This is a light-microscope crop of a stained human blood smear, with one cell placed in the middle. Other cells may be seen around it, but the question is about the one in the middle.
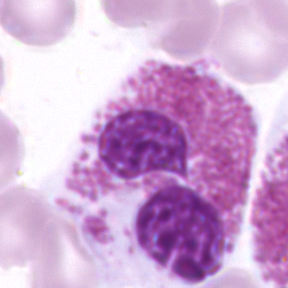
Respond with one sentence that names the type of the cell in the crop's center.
Of the cells in this crop, the central one is an eosinophil.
